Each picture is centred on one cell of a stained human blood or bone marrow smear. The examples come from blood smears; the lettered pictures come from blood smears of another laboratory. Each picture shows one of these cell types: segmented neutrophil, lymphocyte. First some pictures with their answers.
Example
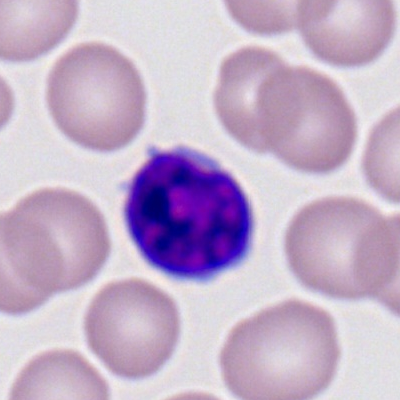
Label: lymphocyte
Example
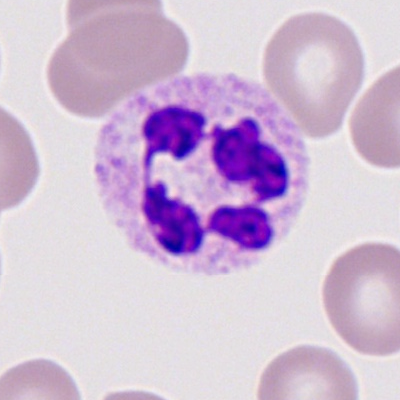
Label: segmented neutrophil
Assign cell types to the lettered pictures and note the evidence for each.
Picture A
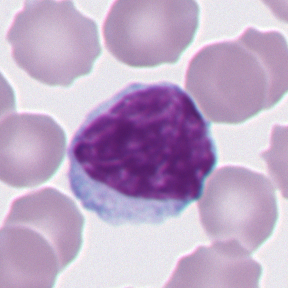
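lymphocyte. The nucleus fills most of the cell and sits toward its upper right.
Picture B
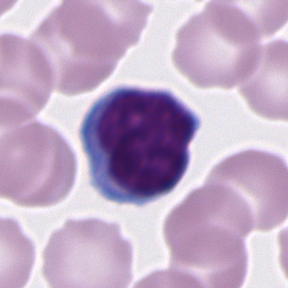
lymphocyte. The cytoplasm forms a thin rim that is widest at the lower left of the cell.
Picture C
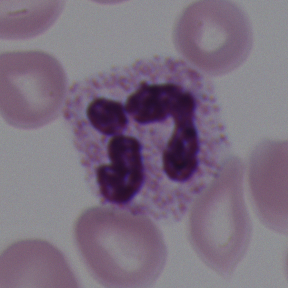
segmented neutrophil. The nucleus is divided into three separate-looking lobes.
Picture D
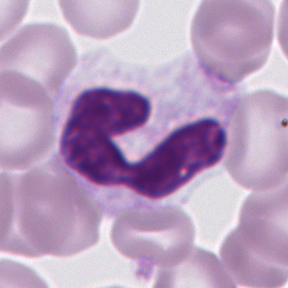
segmented neutrophil. The nucleus is one continuous band, not split into separate lobes.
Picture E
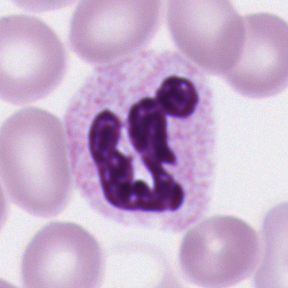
segmented neutrophil. The cytoplasm is abundant and pale pink.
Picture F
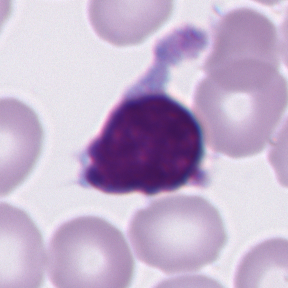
lymphocyte. The nucleus fills almost the whole cell body, leaving scarcely any cytoplasm around it.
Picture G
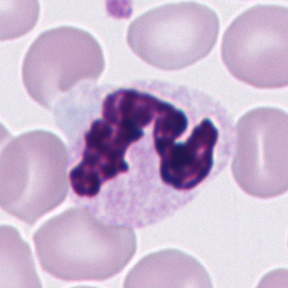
segmented neutrophil. The cytoplasm is abundant and forms a wide area around the nucleus, widest below it.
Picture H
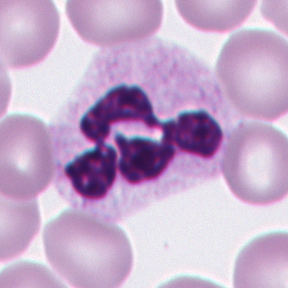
segmented neutrophil. The cytoplasm is plentiful and pale pinkish-lilac.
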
